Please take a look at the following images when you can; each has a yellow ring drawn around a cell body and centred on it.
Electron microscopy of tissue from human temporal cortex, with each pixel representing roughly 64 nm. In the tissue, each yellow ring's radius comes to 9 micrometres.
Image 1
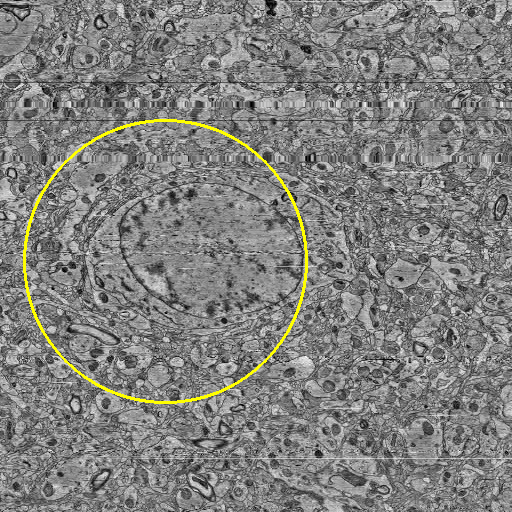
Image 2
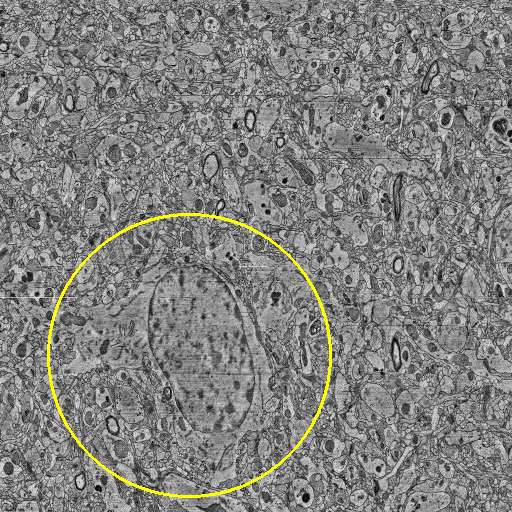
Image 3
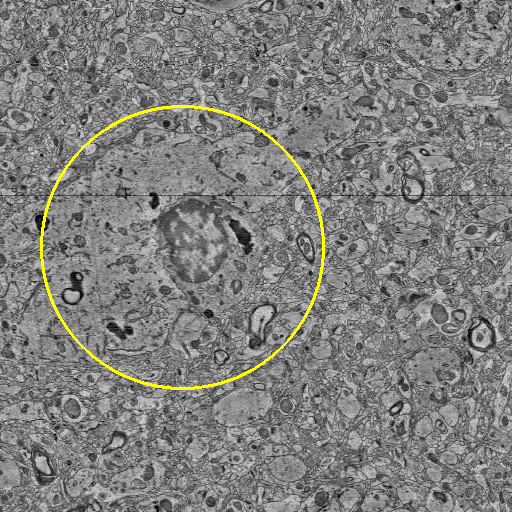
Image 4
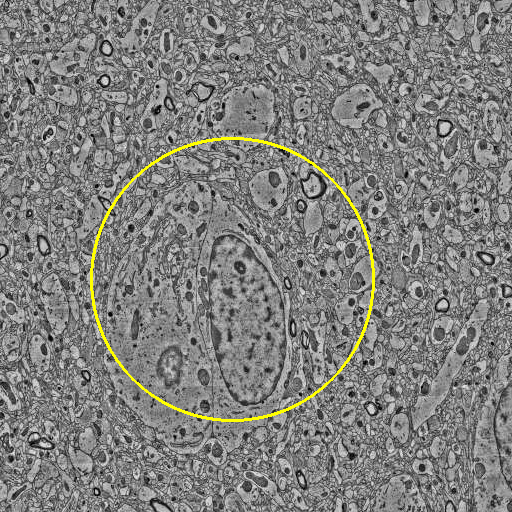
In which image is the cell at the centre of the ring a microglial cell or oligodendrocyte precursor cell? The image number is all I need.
4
